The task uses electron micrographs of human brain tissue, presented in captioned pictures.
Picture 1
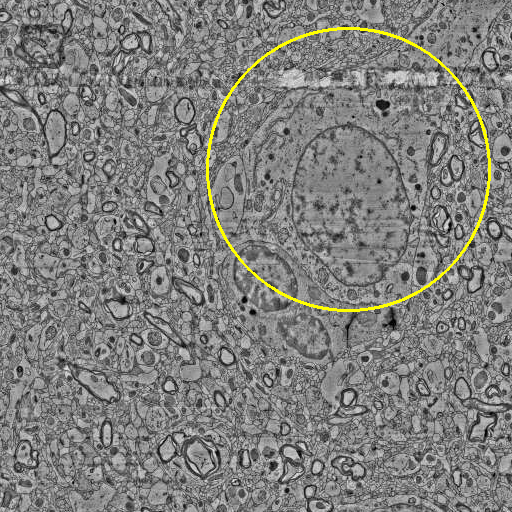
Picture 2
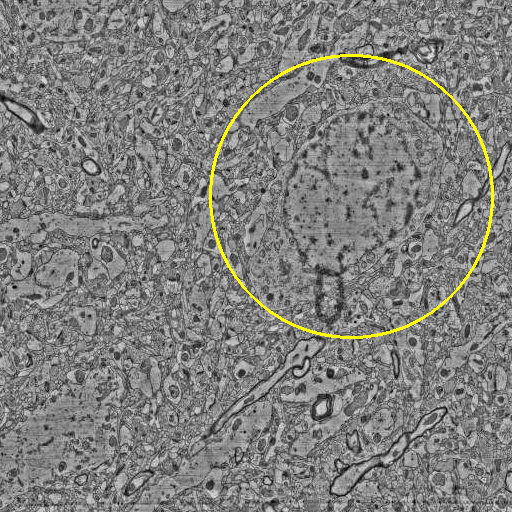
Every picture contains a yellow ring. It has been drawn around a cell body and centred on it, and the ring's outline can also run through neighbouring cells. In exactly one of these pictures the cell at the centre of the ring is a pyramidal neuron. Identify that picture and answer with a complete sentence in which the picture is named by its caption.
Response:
The ring in Picture 1 is centred on that kind of cell.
